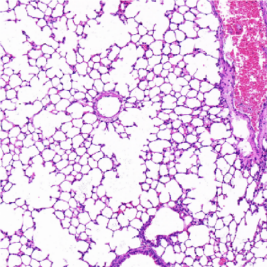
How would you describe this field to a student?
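Lung parenchyma with thin, delicate pink alveolar septa around open air spaces, and a small bronchiole lined by a thin epithelium. At the upper right, a large vessel is filled with red blood cells. There is little cellular crowding around the airway or the vessel.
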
